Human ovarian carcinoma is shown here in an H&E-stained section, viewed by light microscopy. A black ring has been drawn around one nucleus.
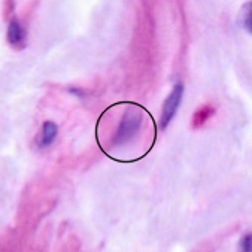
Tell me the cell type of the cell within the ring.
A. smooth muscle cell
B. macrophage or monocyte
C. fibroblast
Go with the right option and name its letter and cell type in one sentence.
Option A is the one to take: the cell within the ring is a smooth muscle cell.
